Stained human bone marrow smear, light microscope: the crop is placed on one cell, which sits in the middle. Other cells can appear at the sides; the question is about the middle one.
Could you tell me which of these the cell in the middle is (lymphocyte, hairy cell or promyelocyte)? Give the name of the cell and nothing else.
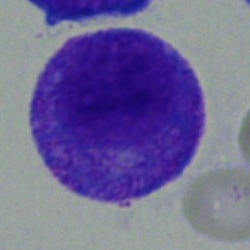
promyelocyte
